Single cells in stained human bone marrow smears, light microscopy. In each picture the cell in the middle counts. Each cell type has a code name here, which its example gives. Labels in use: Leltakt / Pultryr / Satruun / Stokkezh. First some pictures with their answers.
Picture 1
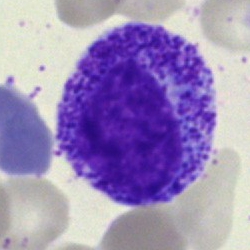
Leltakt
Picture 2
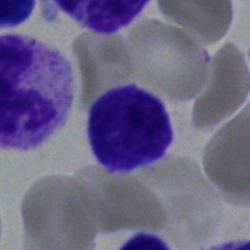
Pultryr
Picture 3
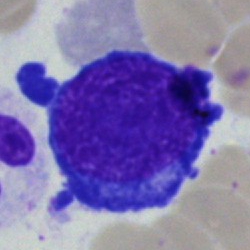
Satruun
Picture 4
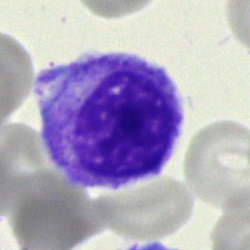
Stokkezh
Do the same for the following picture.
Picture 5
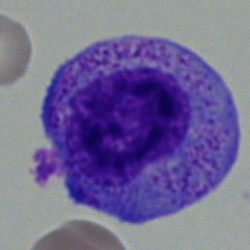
Leltakt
